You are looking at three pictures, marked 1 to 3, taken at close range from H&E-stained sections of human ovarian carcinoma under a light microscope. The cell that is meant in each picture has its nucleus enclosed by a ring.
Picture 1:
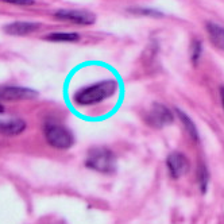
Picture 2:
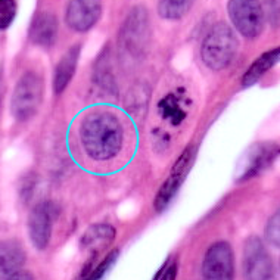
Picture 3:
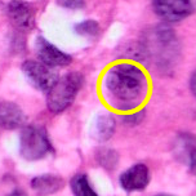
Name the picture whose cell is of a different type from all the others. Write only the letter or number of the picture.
3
